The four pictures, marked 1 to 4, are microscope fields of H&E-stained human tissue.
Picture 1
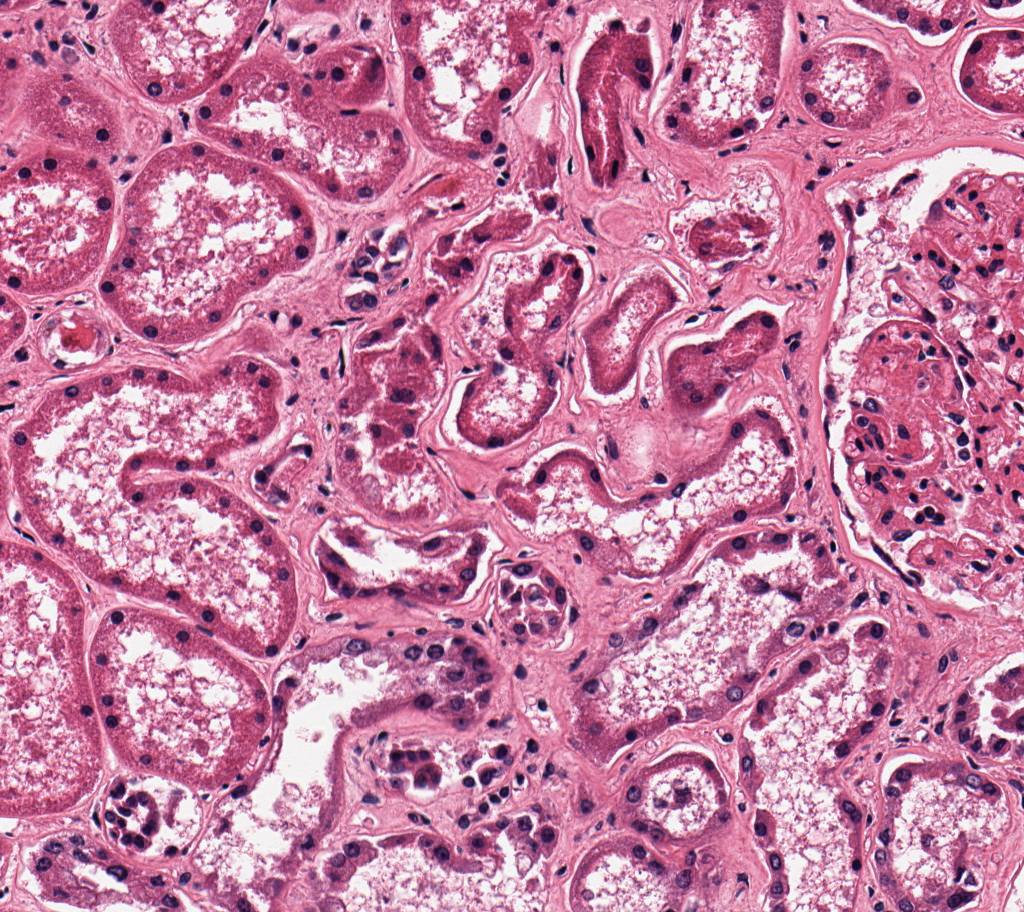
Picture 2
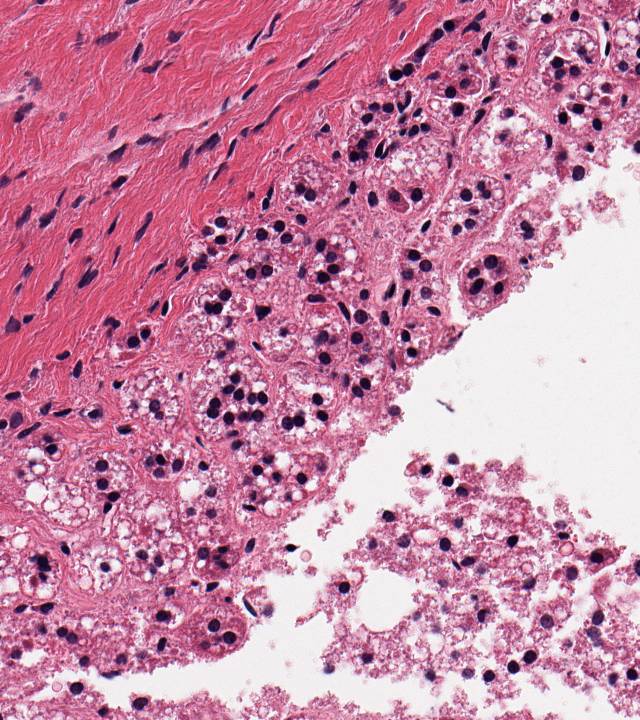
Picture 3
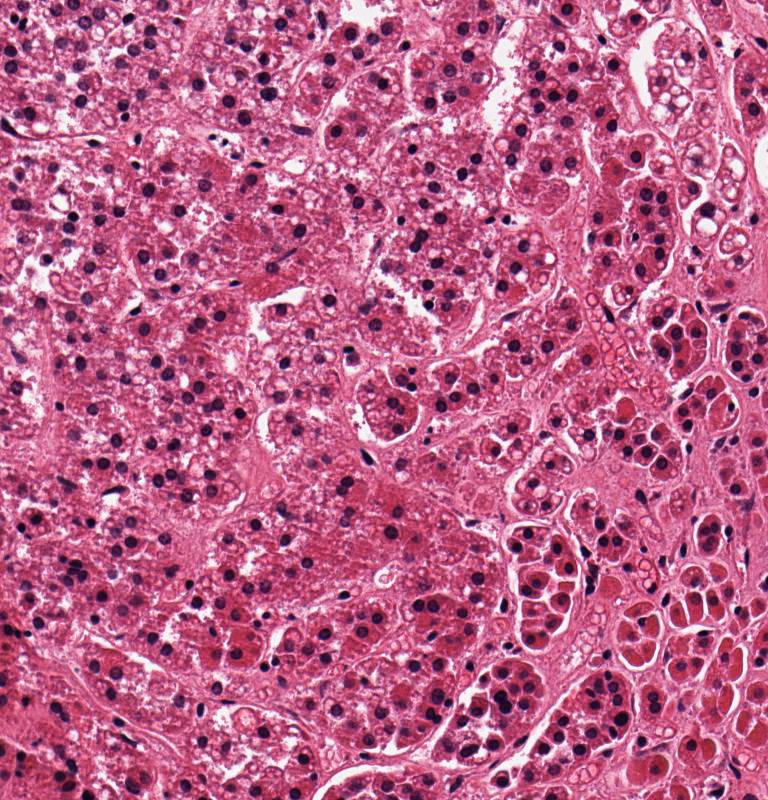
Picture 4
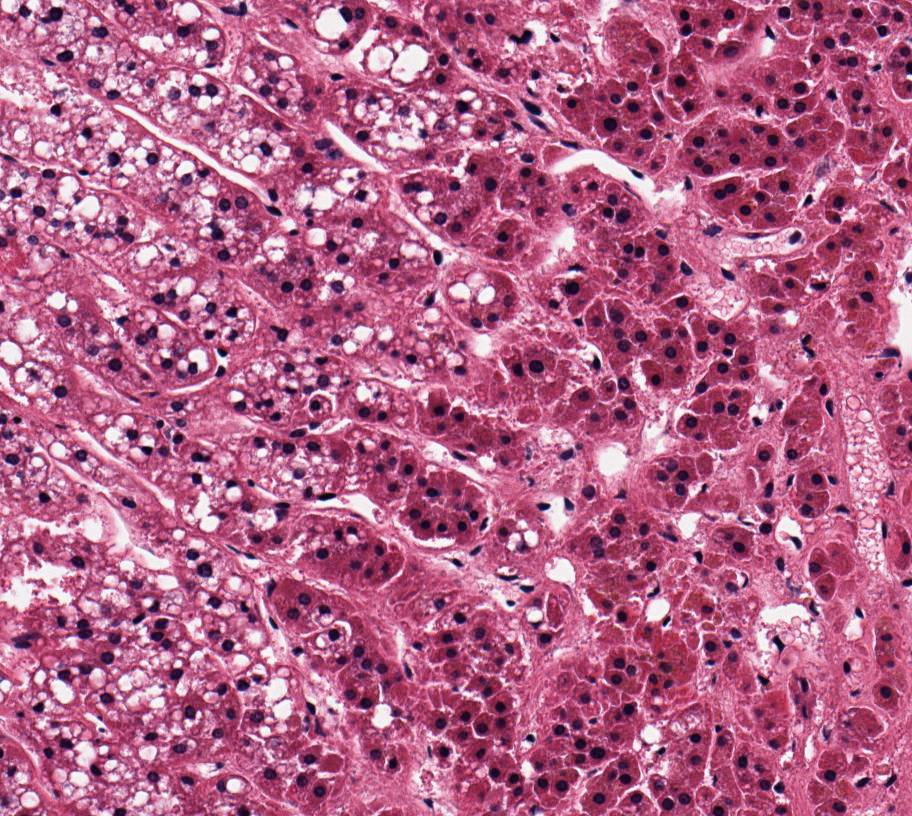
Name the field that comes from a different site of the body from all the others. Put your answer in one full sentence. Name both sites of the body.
The others come from the adrenal gland, but picture 1 comes from the renal cortex.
